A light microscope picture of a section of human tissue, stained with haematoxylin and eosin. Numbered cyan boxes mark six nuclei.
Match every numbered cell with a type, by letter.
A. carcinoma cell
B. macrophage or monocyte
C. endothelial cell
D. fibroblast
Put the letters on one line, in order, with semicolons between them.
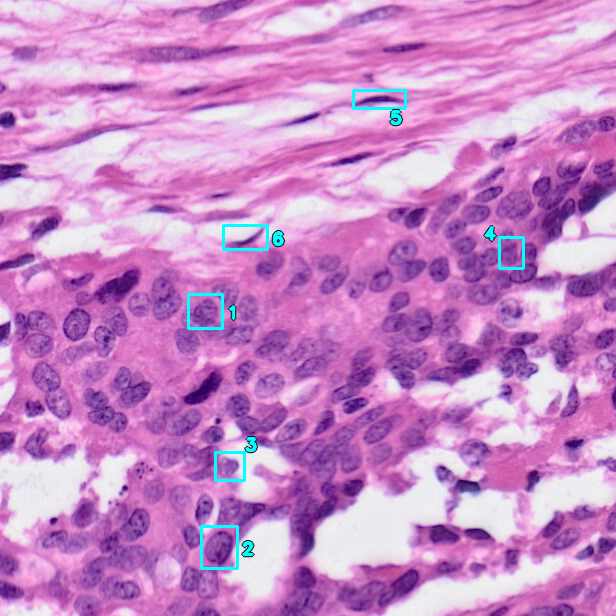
A; A; A; A; D; D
